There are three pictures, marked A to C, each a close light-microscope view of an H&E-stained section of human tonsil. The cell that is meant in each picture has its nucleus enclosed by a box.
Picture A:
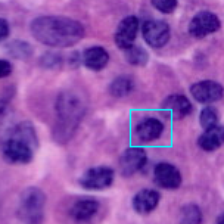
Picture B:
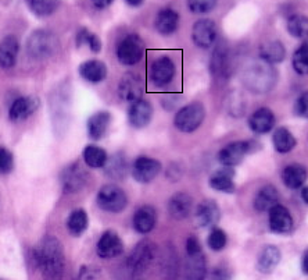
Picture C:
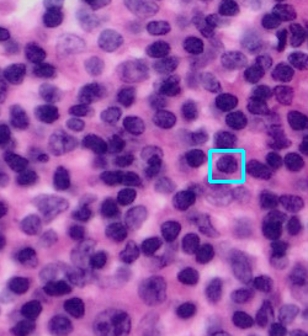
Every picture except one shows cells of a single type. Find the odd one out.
C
